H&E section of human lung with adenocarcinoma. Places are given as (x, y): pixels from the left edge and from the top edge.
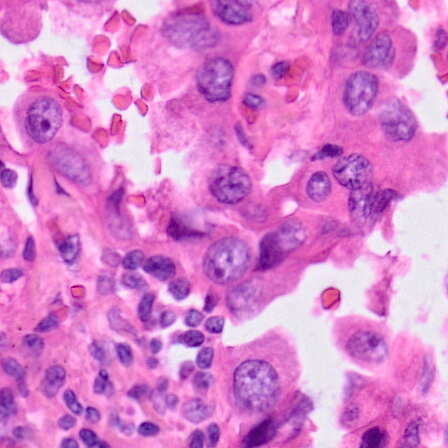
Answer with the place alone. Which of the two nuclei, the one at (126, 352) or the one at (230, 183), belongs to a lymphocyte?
(126, 352)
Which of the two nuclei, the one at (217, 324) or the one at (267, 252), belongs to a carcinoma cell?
(267, 252)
